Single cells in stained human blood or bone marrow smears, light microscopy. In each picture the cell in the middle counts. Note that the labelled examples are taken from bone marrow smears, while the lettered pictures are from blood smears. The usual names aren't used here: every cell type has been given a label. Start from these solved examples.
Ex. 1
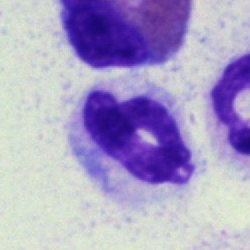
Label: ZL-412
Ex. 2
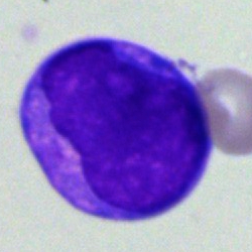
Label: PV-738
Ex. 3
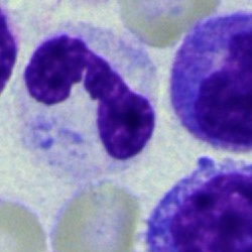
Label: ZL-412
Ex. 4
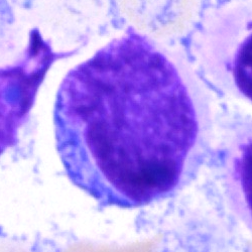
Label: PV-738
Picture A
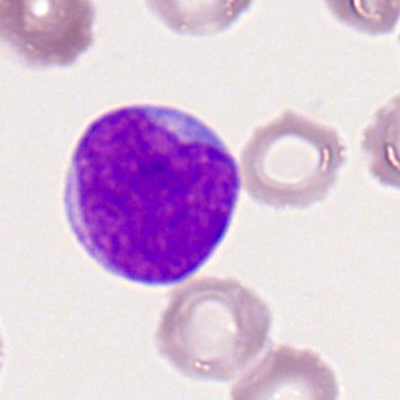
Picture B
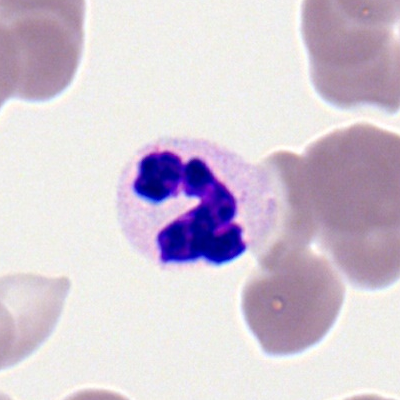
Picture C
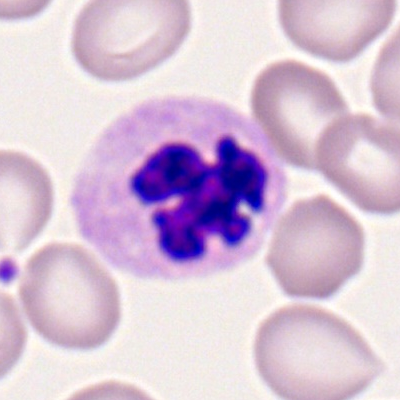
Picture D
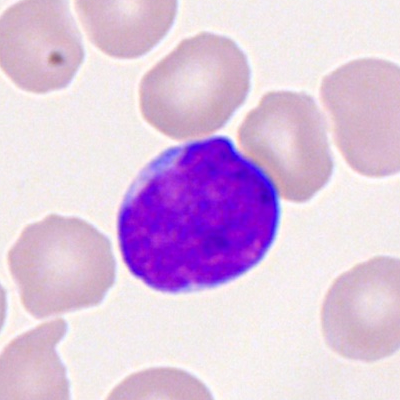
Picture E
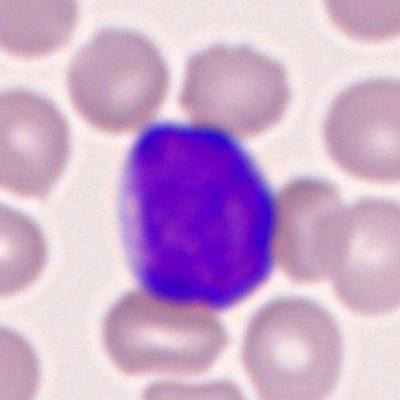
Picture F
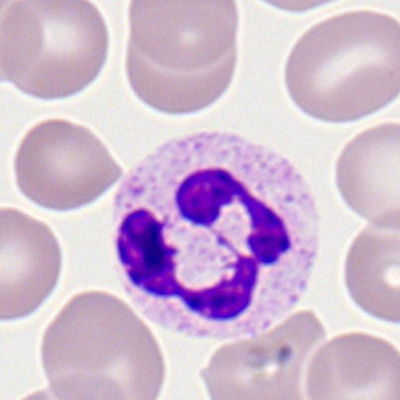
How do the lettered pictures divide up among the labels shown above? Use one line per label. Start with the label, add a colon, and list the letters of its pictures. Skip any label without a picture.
ZL-412: B, C, F
PV-738: A, D, E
